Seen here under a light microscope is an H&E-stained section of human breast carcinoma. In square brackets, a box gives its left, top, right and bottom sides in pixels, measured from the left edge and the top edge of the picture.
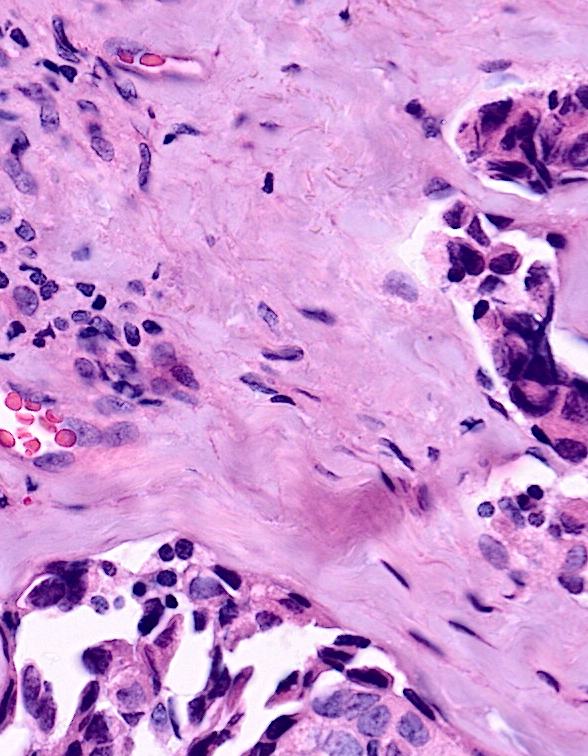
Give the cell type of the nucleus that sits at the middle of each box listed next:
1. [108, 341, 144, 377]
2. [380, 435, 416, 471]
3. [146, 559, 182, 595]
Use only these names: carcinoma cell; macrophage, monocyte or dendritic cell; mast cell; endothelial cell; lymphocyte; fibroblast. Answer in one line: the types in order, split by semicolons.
lymphocyte; fibroblast; lymphocyte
